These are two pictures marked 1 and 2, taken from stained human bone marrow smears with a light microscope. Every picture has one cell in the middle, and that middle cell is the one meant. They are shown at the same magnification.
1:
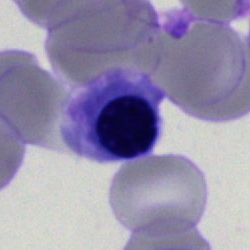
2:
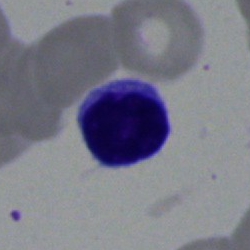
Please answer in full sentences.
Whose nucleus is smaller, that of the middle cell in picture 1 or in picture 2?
Smaller is the nucleus in picture 1, and the other is about 1.5 times as large in area.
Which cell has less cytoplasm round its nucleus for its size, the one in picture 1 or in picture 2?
It is the cell in picture 2 that is filled more by its nucleus.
